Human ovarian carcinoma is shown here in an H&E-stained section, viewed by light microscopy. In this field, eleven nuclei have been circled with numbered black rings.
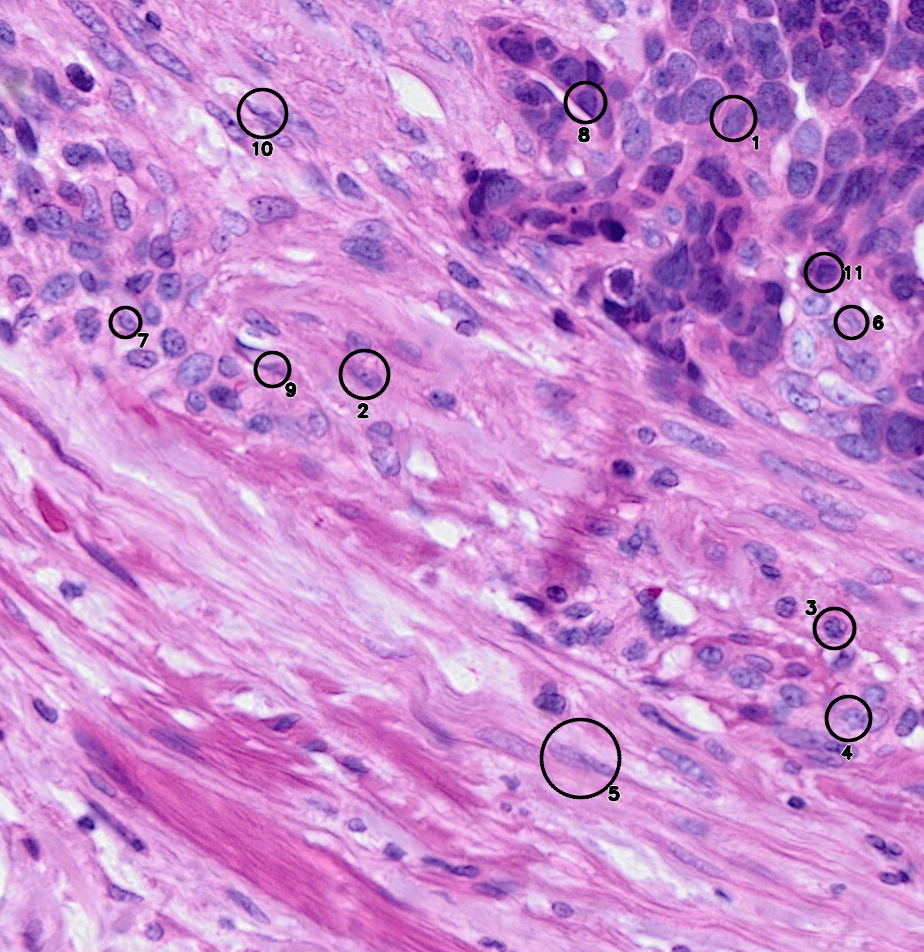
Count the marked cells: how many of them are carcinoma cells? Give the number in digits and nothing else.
3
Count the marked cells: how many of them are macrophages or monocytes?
1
